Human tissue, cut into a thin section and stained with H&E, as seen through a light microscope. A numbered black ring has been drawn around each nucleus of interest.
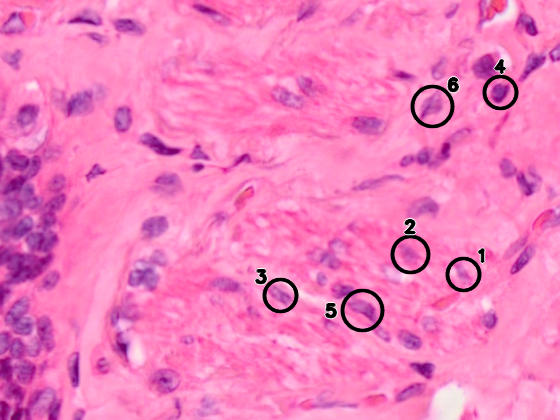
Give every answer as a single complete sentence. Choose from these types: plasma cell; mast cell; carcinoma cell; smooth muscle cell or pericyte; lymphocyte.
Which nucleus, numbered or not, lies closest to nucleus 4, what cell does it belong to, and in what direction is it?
It is a plasma cell, whose nucleus lies above and to the left of nucleus 4.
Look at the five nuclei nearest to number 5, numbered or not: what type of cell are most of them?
Most of the five nuclei nearest to number 5 are those of smooth muscle cells or pericytes.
